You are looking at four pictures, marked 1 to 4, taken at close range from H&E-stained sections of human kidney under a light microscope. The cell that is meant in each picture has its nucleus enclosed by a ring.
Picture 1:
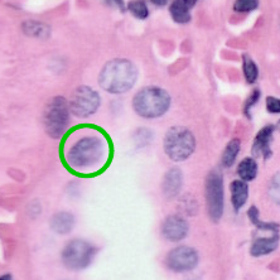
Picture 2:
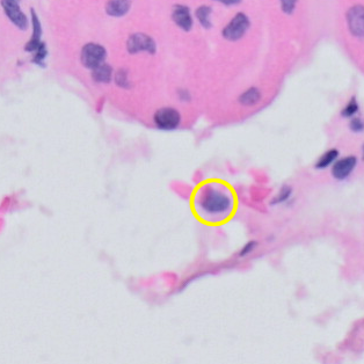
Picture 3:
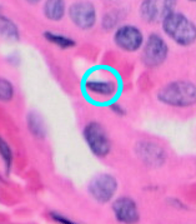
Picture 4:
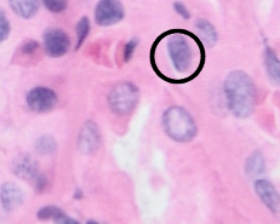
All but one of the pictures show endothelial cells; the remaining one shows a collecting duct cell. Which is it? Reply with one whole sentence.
Picture 1 is the one that shows the collecting duct cell.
